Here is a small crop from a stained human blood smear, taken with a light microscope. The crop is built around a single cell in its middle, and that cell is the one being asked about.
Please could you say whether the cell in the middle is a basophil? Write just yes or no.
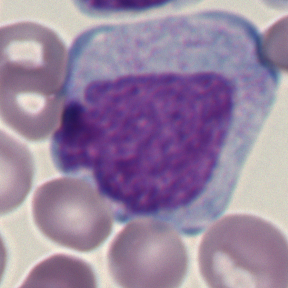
no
